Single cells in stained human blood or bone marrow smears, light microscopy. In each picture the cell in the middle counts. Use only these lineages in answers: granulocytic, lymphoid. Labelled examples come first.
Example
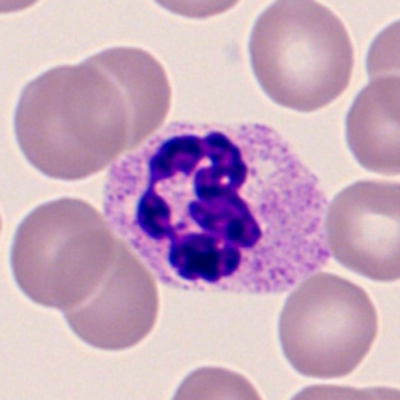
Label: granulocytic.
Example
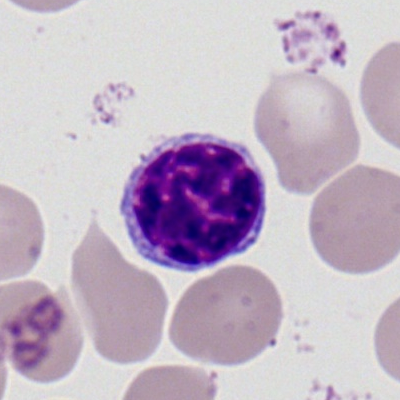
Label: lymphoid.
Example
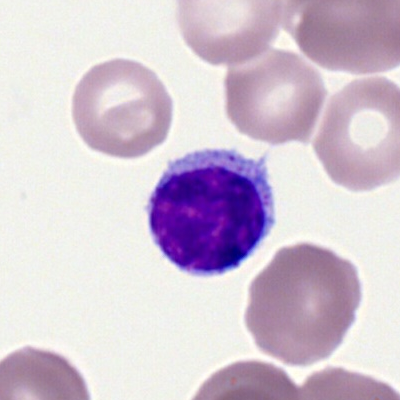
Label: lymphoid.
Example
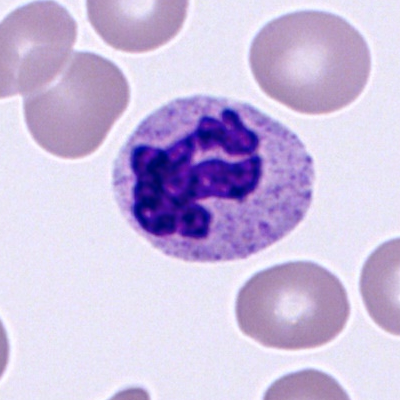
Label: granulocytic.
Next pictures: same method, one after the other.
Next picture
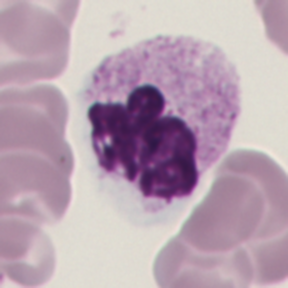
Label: granulocytic.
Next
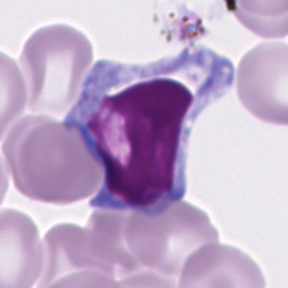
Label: lymphoid.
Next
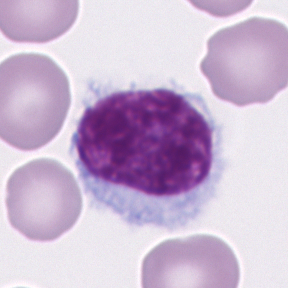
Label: lymphoid.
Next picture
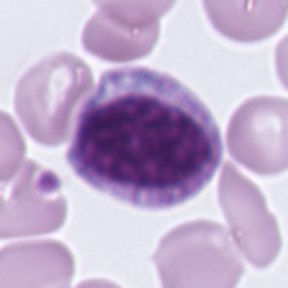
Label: granulocytic.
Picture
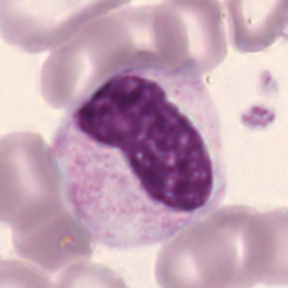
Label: granulocytic.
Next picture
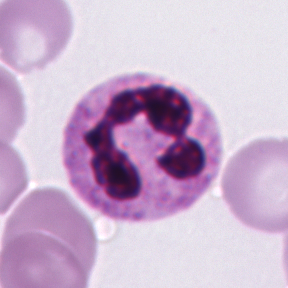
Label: granulocytic.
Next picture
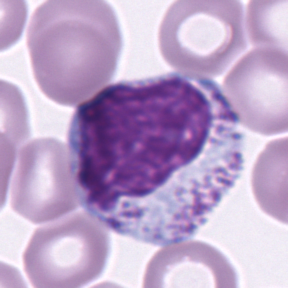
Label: granulocytic.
